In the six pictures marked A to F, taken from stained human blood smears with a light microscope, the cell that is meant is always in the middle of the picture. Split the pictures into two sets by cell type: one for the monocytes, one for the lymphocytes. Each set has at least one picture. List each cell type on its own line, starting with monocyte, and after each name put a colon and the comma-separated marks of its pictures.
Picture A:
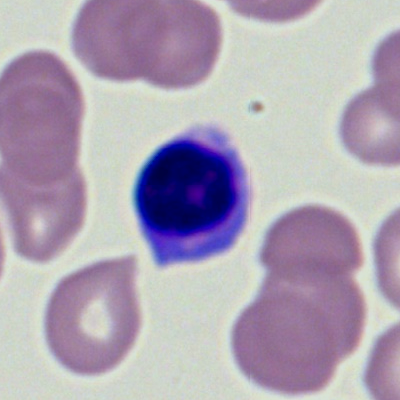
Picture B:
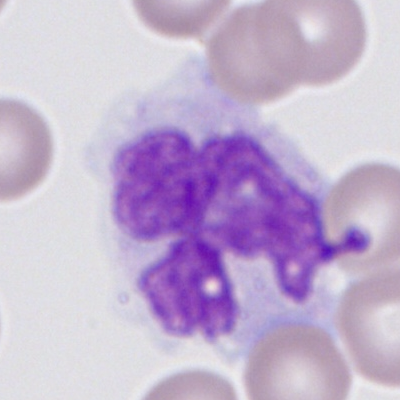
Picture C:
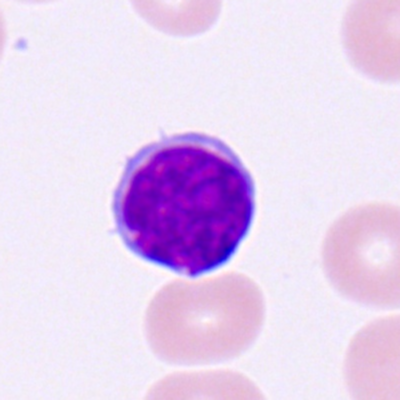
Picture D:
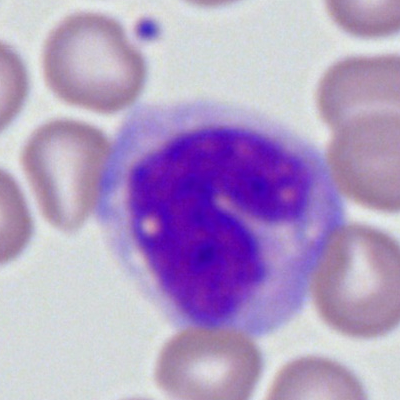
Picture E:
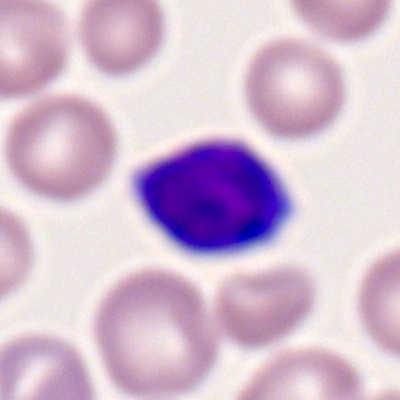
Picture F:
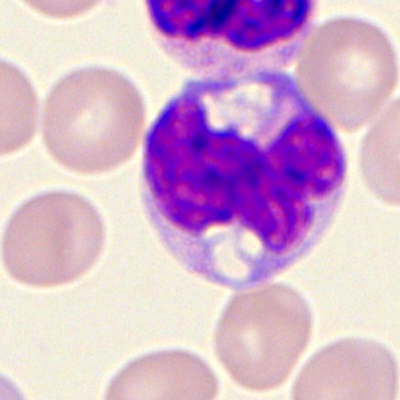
monocyte: B, D, F
lymphocyte: A, C, E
